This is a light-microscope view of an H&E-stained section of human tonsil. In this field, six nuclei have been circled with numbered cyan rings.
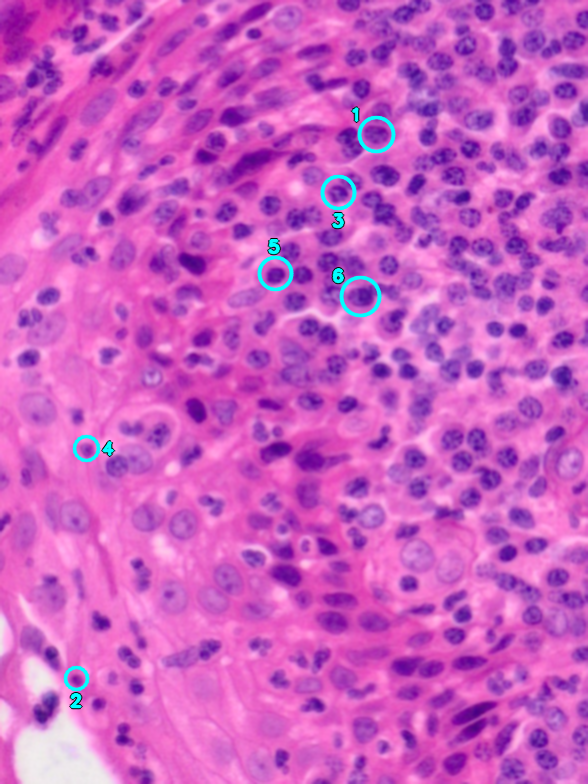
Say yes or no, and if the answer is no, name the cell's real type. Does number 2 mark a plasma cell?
No, it is a squamous epithelial cell.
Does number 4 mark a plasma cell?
No, it is a squamous epithelial cell.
